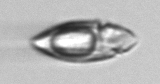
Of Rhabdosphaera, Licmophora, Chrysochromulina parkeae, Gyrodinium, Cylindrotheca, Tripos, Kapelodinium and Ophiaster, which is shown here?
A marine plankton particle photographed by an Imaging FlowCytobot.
Kapelodinium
